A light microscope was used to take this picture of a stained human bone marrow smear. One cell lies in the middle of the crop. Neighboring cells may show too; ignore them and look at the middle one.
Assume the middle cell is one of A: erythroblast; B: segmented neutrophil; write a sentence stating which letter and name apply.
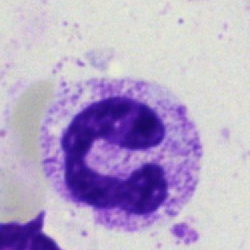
Option B stands as correct, the central cell being a segmented neutrophil.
